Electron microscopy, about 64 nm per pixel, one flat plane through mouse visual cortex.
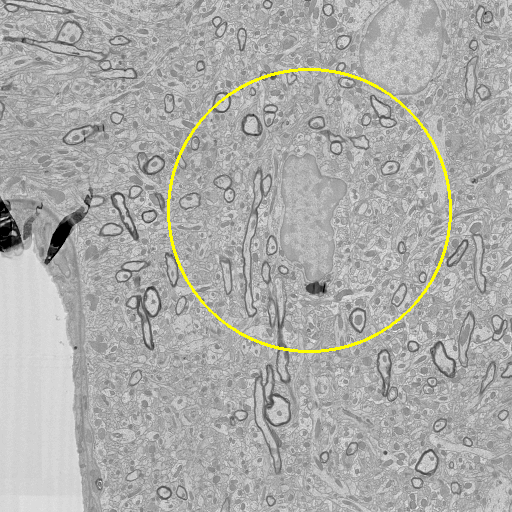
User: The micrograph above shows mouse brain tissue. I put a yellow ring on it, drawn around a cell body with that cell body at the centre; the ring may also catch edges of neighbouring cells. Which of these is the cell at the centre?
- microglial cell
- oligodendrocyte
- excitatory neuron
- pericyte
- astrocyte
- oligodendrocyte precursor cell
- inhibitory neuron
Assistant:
microglial cell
